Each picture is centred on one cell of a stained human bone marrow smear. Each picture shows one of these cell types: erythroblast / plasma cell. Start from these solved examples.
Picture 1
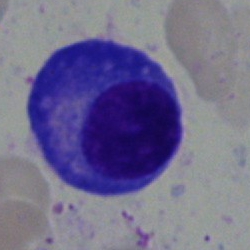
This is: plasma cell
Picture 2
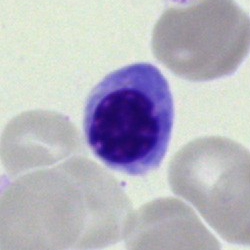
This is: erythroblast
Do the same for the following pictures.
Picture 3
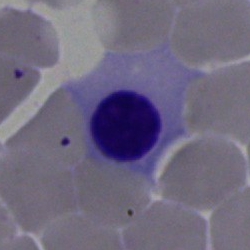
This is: erythroblast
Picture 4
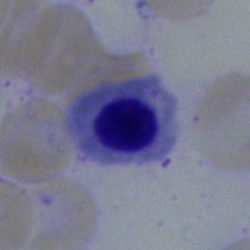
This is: erythroblast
